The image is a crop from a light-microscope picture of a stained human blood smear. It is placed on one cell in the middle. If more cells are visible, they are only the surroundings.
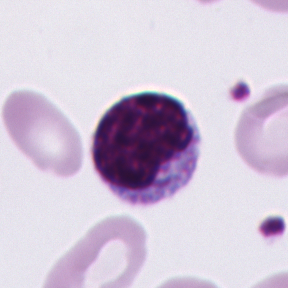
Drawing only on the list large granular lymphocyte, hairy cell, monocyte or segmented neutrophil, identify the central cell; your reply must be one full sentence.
This crop is built around a large granular lymphocyte at its centre.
